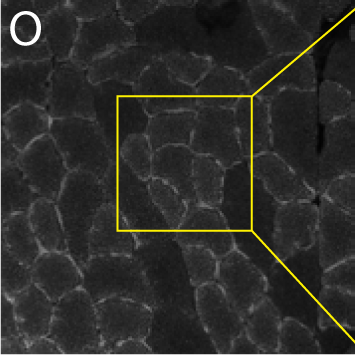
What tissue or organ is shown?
muscle fibres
